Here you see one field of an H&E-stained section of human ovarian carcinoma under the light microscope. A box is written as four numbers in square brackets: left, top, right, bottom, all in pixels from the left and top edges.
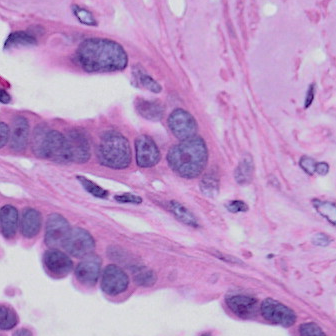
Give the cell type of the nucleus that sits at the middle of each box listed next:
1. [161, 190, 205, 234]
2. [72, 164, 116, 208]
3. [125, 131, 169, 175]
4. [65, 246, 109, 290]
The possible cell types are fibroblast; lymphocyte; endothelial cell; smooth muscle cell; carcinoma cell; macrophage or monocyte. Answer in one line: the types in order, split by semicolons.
fibroblast; fibroblast; carcinoma cell; carcinoma cell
